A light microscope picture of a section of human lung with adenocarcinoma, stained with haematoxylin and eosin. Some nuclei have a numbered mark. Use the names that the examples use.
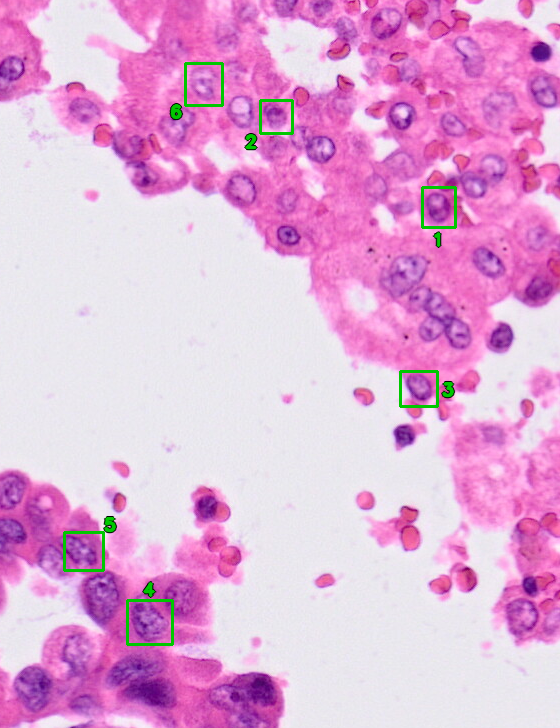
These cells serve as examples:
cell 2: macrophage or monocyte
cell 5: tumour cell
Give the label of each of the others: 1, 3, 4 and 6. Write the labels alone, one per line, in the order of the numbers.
macrophage or monocyte
macrophage or monocyte
tumour cell
macrophage or monocyte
